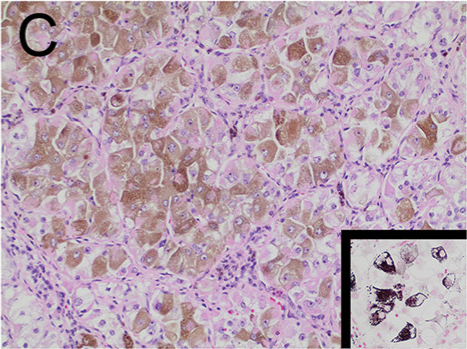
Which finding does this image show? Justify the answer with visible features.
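Many tumor cells have brown granular pigment filling the cytoplasm. The pigmented cells form a patch among unpigmented clear cells. So: cytoplasmic melanin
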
